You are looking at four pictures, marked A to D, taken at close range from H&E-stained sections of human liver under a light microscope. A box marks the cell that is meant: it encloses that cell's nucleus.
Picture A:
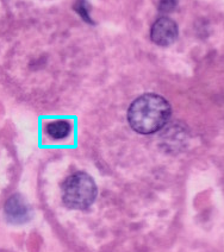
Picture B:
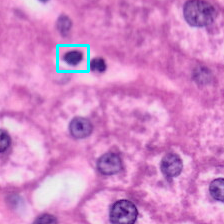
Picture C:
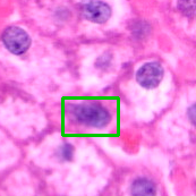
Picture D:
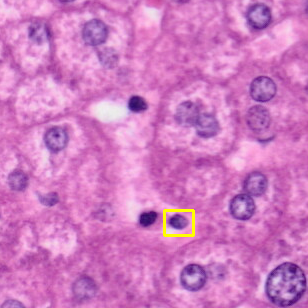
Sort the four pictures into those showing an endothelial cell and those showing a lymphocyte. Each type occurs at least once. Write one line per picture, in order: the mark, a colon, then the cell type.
A: lymphocyte
B: lymphocyte
C: endothelial cell
D: lymphocyte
